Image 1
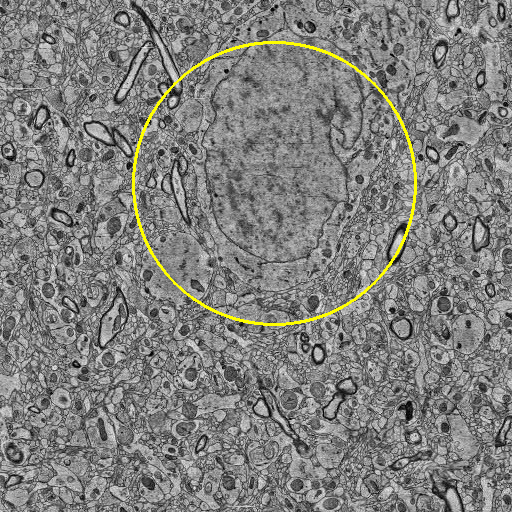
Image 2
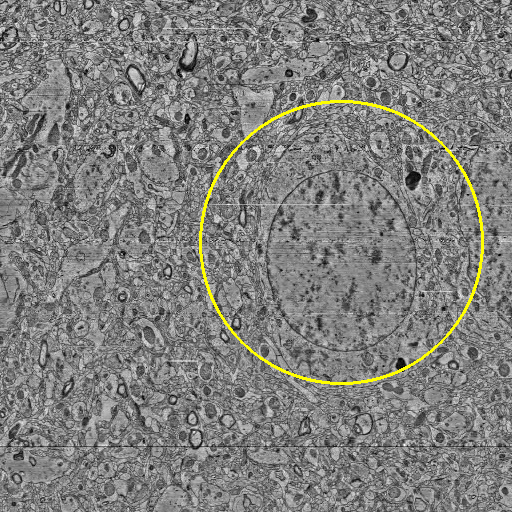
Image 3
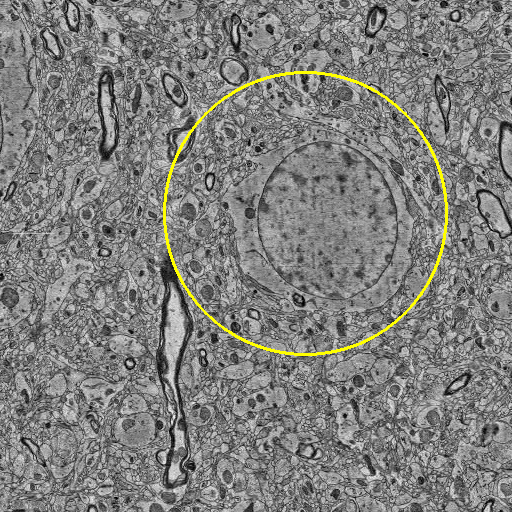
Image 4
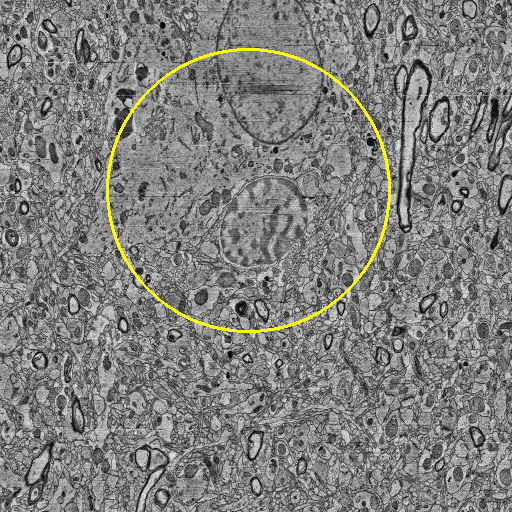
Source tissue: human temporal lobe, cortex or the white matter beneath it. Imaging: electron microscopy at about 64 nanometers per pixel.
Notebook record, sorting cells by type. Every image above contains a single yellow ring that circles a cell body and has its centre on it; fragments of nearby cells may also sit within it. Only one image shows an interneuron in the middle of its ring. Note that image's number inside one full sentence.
For image 1, the cell in the middle of its yellow ring is the match.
